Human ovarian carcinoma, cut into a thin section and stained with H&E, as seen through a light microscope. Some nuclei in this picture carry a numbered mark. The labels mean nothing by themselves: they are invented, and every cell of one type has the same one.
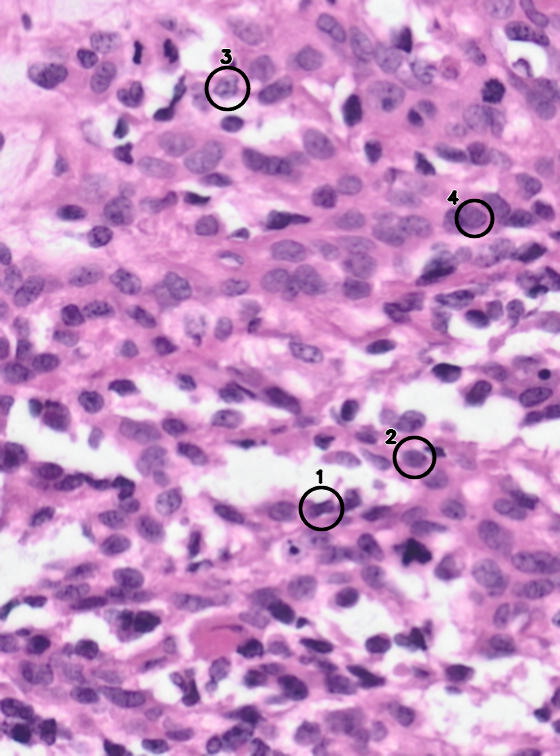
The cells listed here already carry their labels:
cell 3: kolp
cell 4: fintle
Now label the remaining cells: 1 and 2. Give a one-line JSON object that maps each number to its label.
{"1": "fintle", "2": "fintle"}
